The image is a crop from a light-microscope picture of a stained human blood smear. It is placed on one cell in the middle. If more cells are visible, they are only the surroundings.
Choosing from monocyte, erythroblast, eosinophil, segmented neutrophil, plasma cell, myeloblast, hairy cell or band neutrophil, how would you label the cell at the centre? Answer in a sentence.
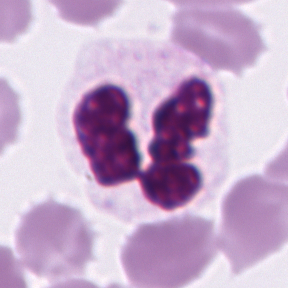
As for the central cell, it is a segmented neutrophil.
